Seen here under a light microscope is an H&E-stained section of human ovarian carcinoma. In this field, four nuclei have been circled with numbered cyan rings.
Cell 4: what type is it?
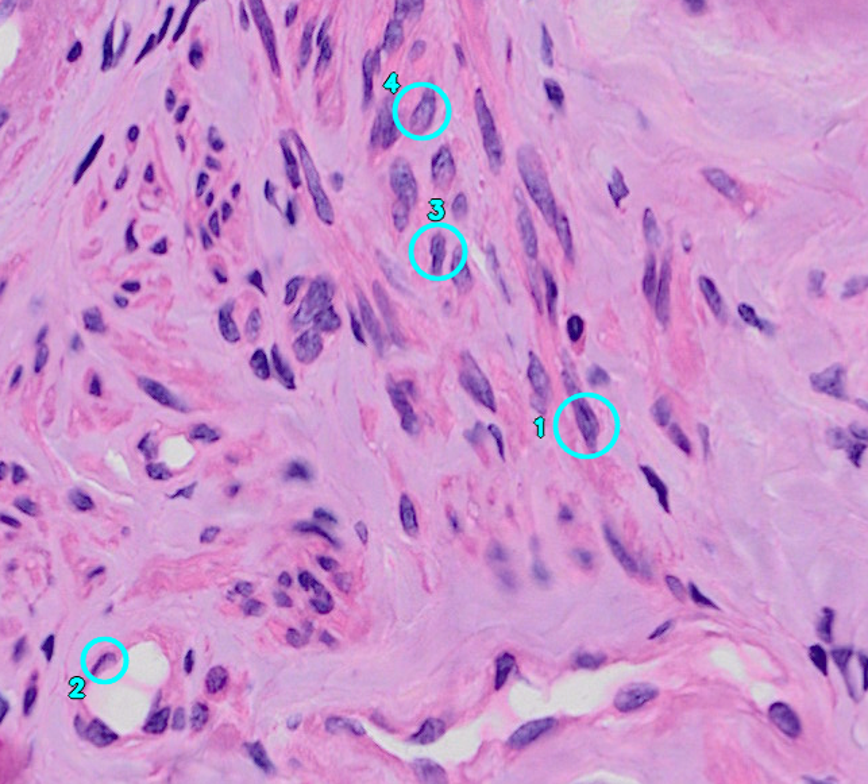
smooth muscle cell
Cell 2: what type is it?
endothelial cell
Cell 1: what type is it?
smooth muscle cell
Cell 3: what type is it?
smooth muscle cell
